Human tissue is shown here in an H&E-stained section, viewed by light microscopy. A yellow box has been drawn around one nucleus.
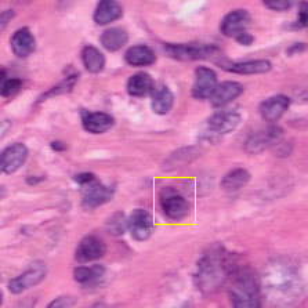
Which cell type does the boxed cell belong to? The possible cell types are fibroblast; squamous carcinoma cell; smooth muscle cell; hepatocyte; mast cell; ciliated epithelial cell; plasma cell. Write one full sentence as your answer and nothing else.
It is as a plasma cell that the boxed cell is classified.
